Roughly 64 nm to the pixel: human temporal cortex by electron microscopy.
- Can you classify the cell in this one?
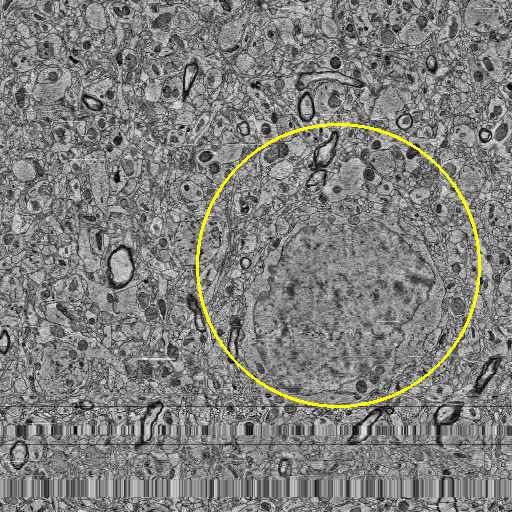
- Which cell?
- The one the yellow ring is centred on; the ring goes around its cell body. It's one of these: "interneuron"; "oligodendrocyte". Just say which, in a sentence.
The cell body in the ring belongs to an interneuron.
